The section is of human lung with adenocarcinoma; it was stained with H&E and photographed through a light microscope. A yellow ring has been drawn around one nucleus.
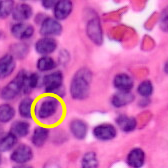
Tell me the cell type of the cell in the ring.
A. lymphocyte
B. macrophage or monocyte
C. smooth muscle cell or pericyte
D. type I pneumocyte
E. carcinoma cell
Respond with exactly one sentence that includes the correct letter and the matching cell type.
In this section the cell in the ring is a lymphocyte; option A is therefore correct.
